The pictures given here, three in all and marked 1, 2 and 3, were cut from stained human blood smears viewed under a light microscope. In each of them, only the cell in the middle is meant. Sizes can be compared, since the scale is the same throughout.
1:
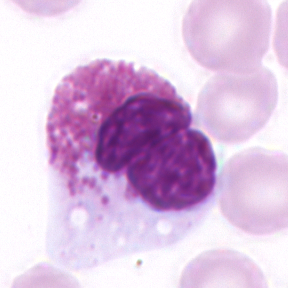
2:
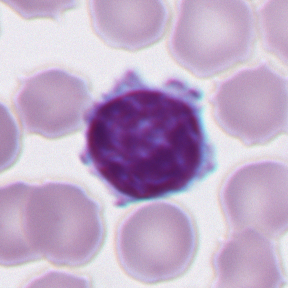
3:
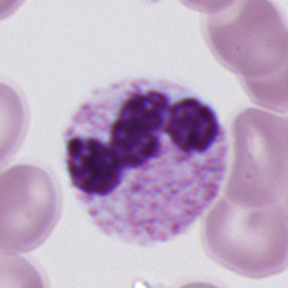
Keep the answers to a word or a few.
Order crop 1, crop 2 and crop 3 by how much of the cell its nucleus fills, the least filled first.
3, 1, 2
